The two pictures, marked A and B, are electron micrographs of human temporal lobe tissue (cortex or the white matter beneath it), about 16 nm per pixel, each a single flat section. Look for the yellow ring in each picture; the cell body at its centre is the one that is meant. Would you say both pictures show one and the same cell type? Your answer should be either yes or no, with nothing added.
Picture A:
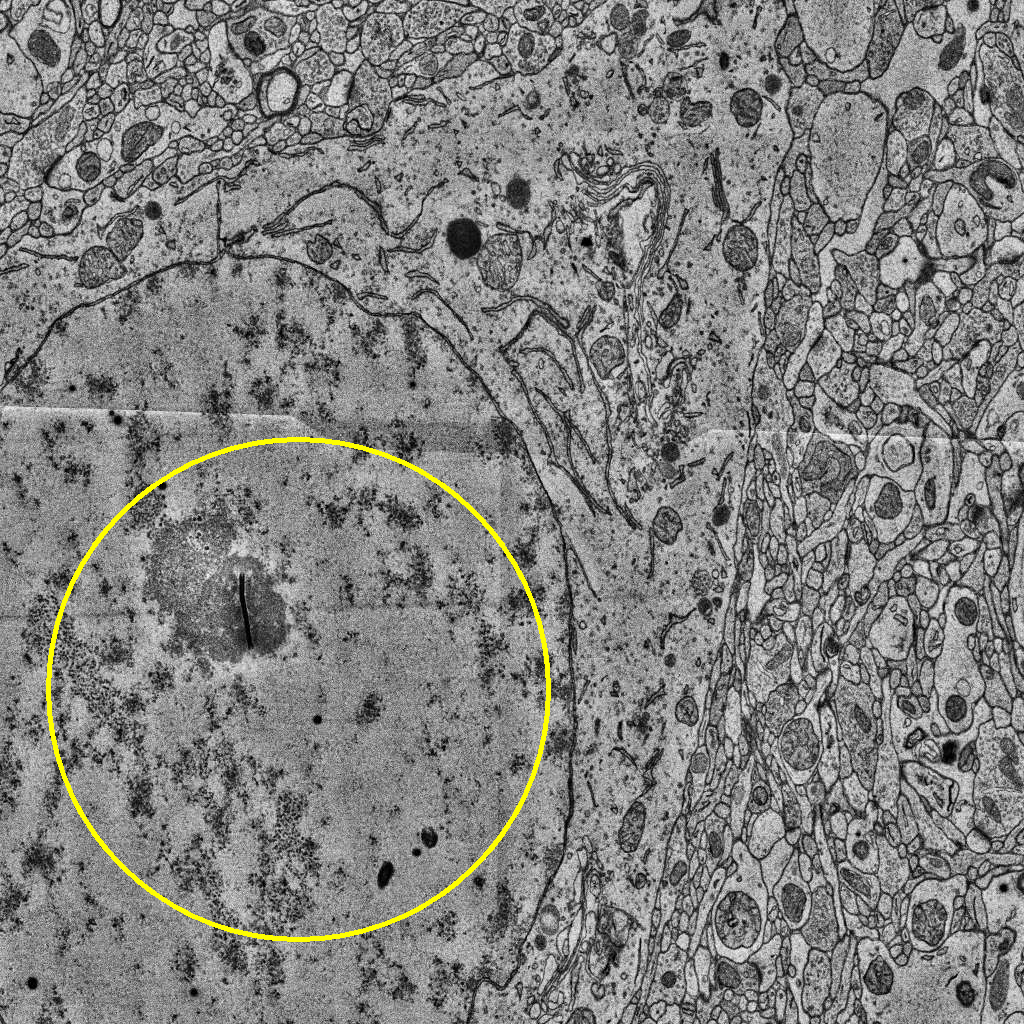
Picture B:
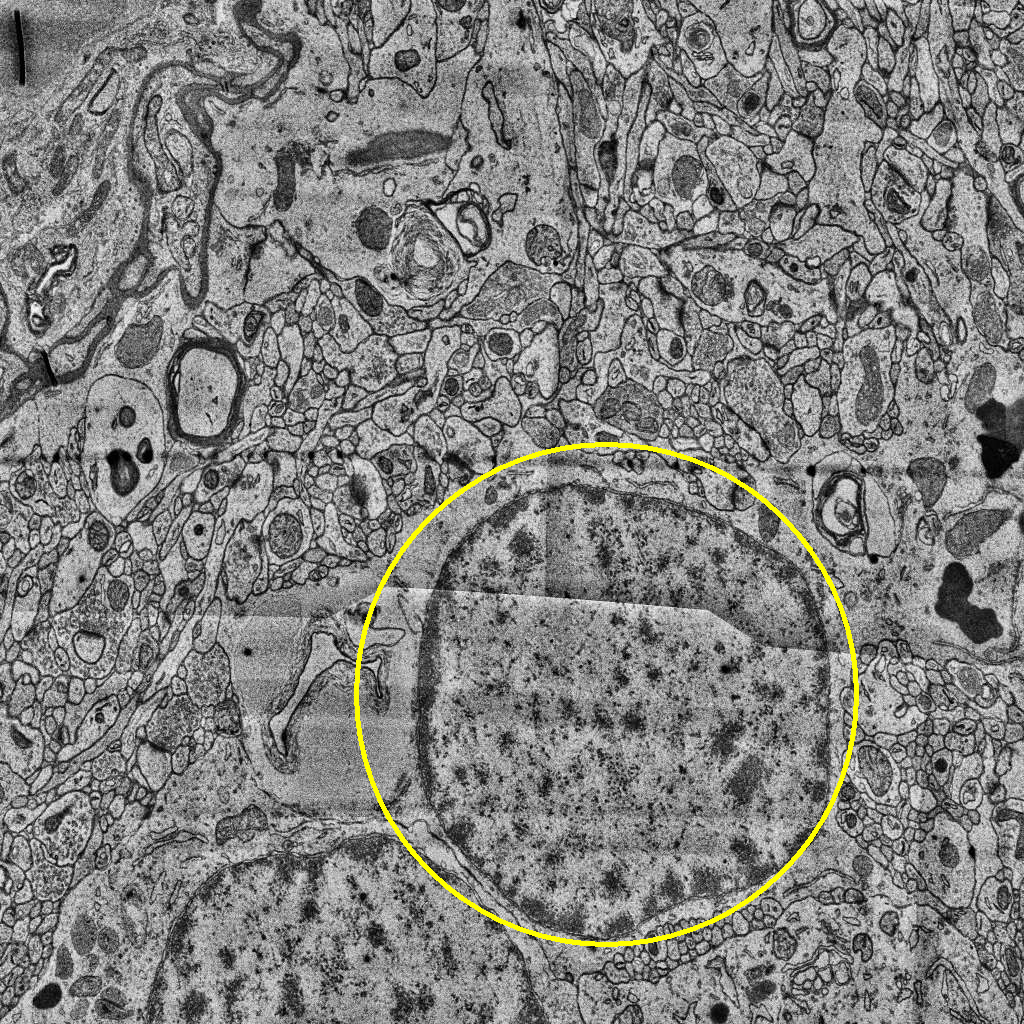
no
